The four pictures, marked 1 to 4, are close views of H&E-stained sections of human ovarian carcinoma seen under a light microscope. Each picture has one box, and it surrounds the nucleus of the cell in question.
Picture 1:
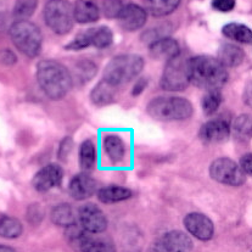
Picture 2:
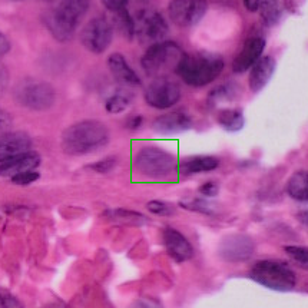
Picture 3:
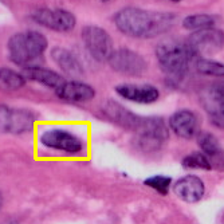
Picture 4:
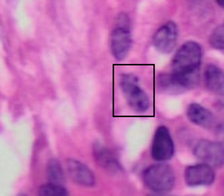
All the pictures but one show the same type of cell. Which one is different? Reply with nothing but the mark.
2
